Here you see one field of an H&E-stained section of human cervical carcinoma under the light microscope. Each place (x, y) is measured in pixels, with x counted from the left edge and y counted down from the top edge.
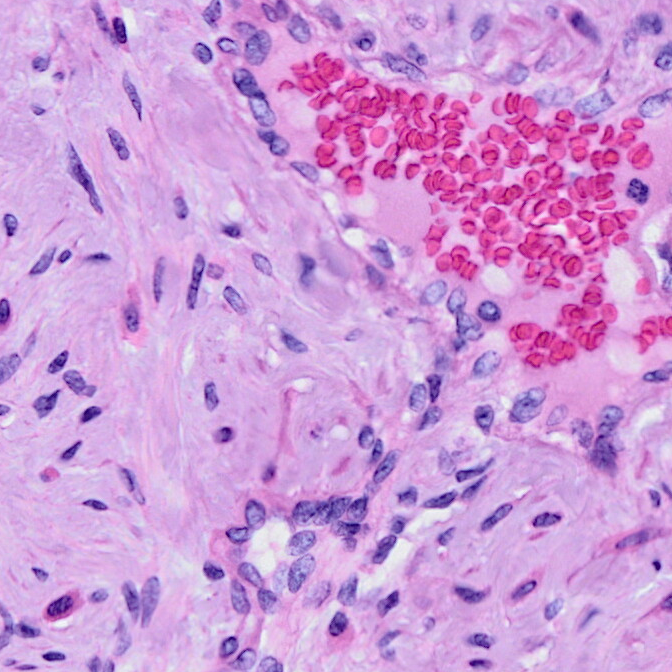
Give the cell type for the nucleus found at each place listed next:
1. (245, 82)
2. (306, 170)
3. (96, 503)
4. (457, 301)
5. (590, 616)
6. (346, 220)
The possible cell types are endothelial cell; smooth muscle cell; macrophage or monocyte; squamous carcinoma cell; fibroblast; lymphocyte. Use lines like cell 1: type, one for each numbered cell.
cell 1: endothelial cell
cell 2: endothelial cell
cell 3: fibroblast
cell 4: endothelial cell
cell 5: fibroblast
cell 6: endothelial cell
